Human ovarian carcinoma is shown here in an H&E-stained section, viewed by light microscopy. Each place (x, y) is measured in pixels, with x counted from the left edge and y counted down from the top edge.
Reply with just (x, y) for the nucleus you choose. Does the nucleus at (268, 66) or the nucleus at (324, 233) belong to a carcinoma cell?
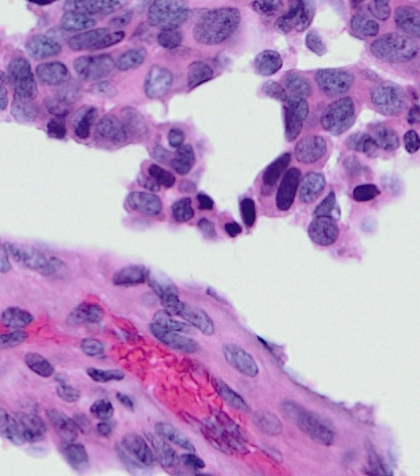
(324, 233)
